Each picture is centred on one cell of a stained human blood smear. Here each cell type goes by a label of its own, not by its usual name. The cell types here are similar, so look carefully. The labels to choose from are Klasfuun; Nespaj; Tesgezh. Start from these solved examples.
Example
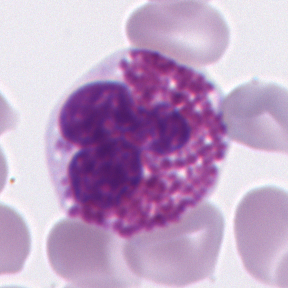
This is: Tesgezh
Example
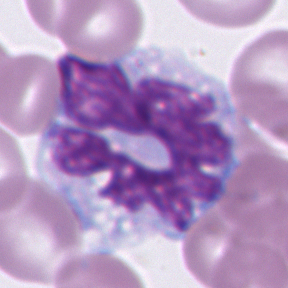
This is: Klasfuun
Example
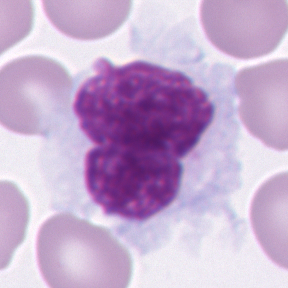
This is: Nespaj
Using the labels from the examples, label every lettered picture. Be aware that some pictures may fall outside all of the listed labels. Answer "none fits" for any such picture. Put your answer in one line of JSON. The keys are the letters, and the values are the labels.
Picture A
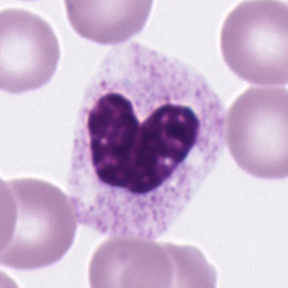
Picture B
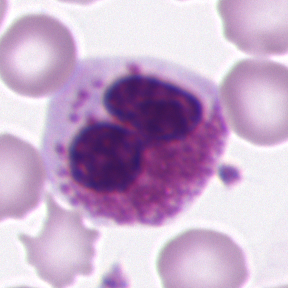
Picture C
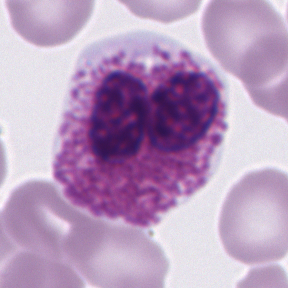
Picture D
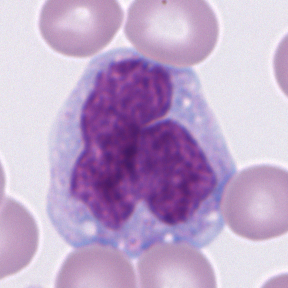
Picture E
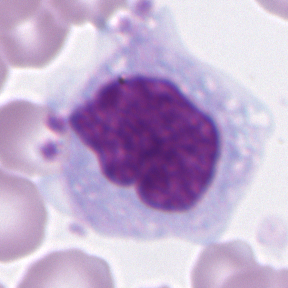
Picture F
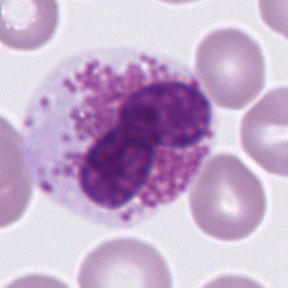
{"A": "none fits", "B": "Tesgezh", "C": "Tesgezh", "D": "Klasfuun", "E": "Klasfuun", "F": "Tesgezh"}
